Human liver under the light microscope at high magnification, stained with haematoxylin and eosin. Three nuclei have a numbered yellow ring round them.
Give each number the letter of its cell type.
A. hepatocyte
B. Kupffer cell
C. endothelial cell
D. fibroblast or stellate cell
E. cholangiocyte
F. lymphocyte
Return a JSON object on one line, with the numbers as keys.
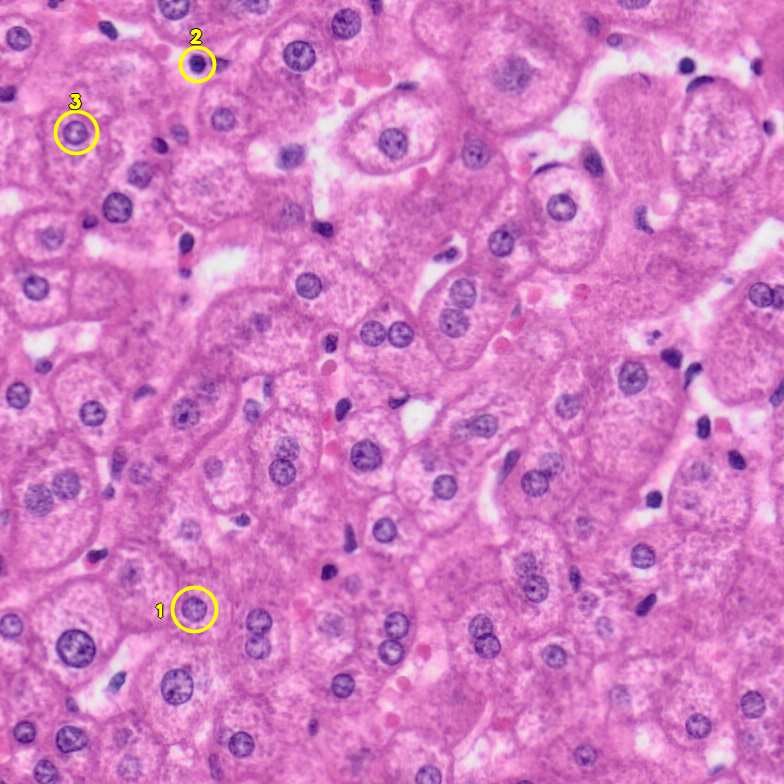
{"1": "A", "2": "F", "3": "A"}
